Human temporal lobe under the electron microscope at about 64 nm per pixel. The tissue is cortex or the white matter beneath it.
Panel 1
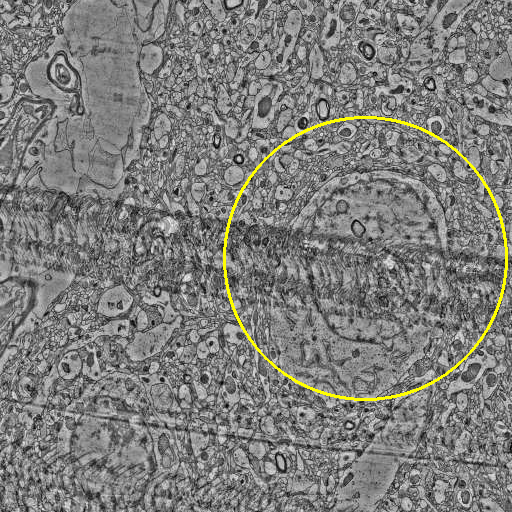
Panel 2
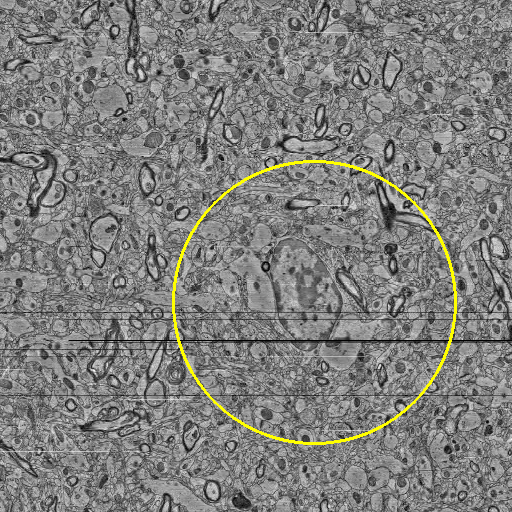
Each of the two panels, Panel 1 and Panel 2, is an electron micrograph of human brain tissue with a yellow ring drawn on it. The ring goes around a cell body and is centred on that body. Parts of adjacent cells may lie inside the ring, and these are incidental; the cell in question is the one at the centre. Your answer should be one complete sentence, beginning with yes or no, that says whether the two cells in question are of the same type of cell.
No, the two cells are of two types.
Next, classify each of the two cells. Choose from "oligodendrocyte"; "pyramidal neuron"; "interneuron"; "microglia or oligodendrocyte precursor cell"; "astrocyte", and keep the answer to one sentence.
In the first picture it is an interneuron; in the second it is a microglial cell or oligodendrocyte precursor cell.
